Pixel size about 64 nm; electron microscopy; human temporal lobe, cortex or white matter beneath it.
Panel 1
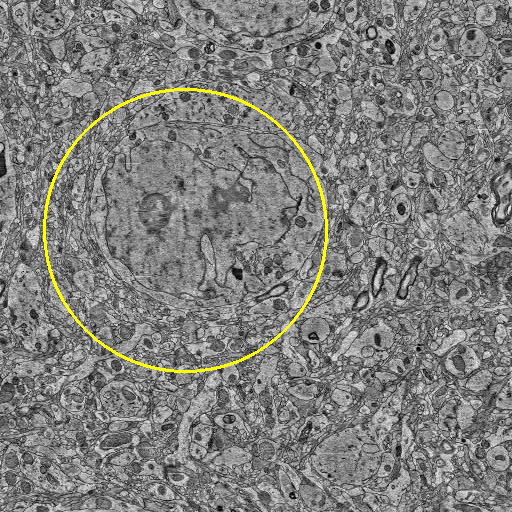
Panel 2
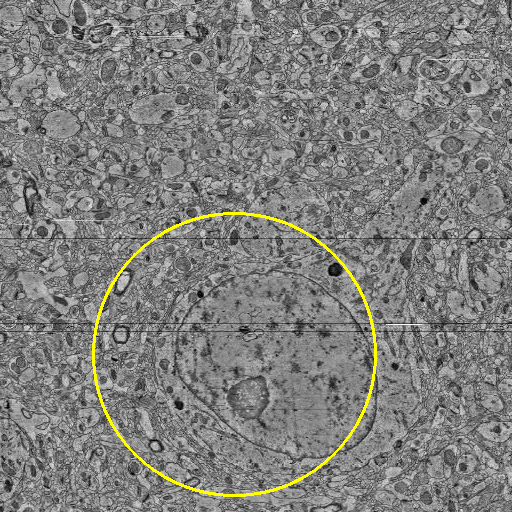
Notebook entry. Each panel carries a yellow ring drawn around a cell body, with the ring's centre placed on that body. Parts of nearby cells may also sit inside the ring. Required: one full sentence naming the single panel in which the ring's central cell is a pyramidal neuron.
Panel 2 is the single one with the sought cell at its ring's centre.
